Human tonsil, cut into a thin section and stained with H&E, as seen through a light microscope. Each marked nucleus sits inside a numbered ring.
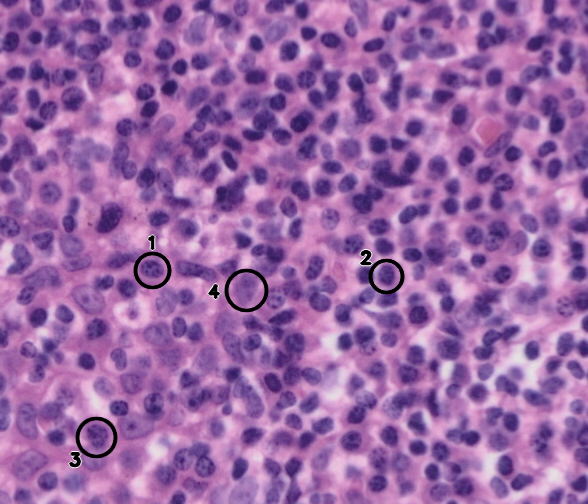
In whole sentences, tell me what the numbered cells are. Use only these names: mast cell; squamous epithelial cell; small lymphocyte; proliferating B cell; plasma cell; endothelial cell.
Cells 1, 2 and 3 are plasma cells. Cell 4 is a squamous epithelial cell.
